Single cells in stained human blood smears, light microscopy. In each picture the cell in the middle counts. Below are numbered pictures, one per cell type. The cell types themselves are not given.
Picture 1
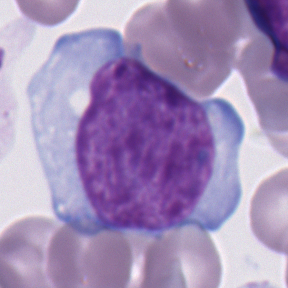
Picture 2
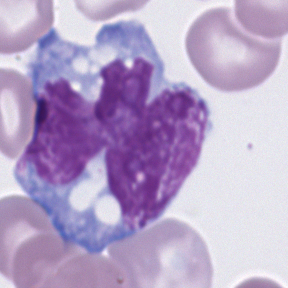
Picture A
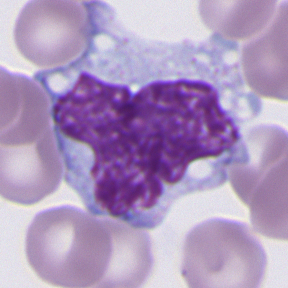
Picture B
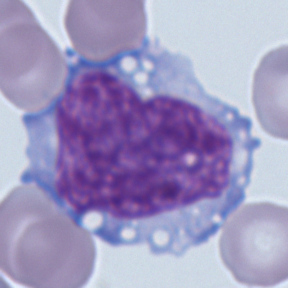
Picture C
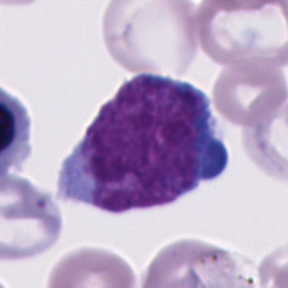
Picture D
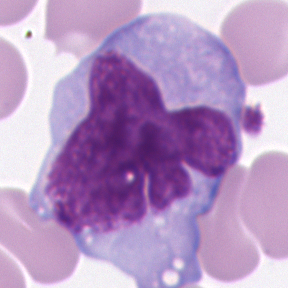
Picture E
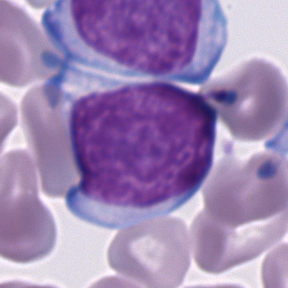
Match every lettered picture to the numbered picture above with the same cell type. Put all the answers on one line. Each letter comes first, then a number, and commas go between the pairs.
A 2, B 1, C 1, D 2, E 1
